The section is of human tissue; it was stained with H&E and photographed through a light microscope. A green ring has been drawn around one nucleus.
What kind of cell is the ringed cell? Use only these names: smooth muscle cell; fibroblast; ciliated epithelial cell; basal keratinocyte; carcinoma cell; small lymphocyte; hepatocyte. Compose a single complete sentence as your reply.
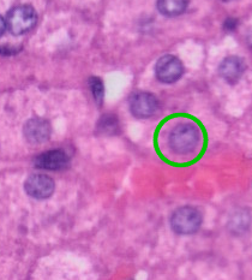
The correct response here is that the ringed cell is a hepatocyte.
